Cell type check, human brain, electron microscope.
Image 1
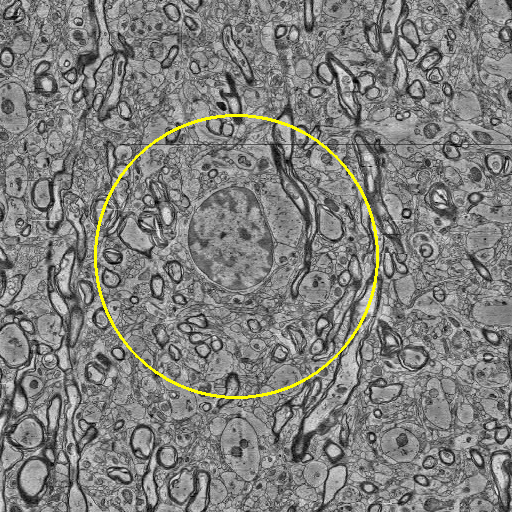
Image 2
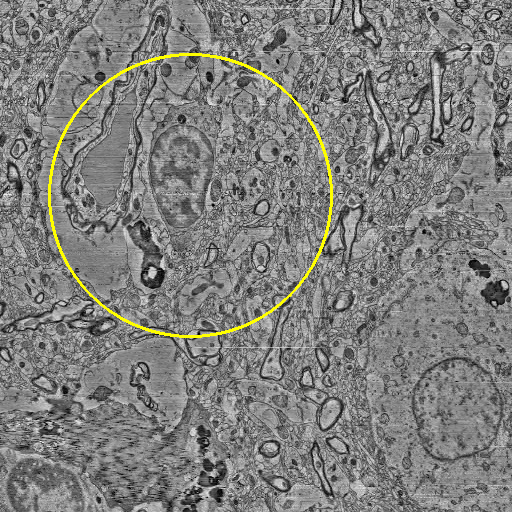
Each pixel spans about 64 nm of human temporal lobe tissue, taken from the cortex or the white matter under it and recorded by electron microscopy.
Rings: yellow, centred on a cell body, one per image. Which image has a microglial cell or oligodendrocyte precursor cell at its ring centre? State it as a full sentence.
The ring in Image 1 is centred on it.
